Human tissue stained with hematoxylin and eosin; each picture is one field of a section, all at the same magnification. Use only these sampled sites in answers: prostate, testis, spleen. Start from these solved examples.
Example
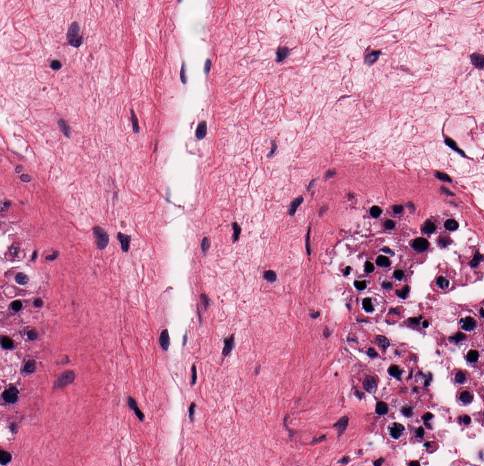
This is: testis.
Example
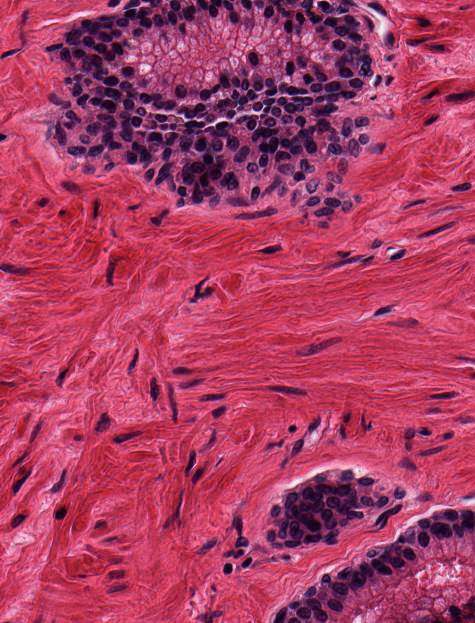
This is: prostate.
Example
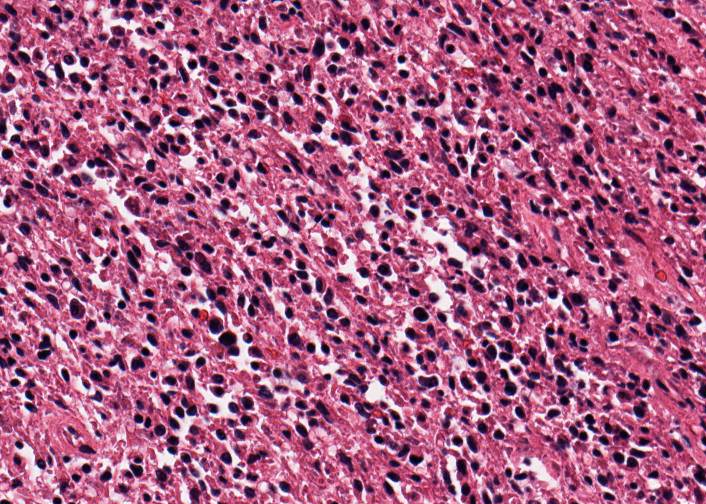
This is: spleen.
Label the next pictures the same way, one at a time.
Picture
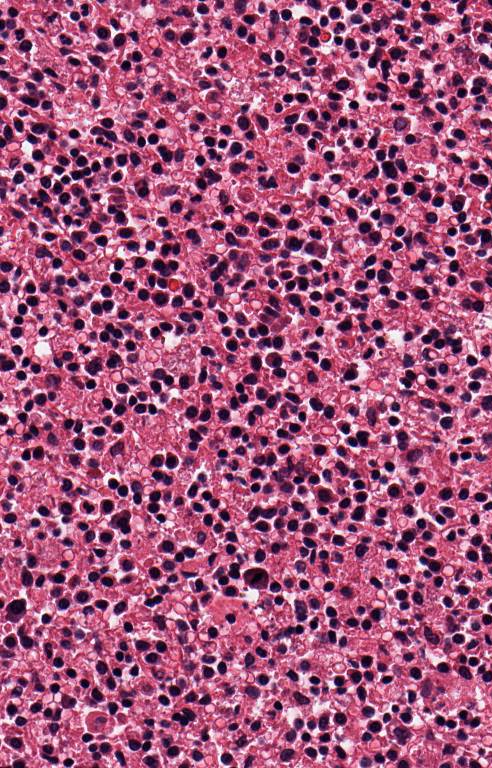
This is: spleen.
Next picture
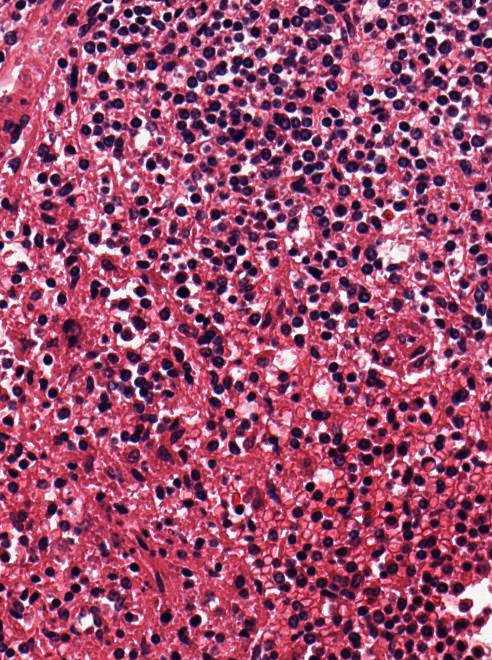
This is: spleen.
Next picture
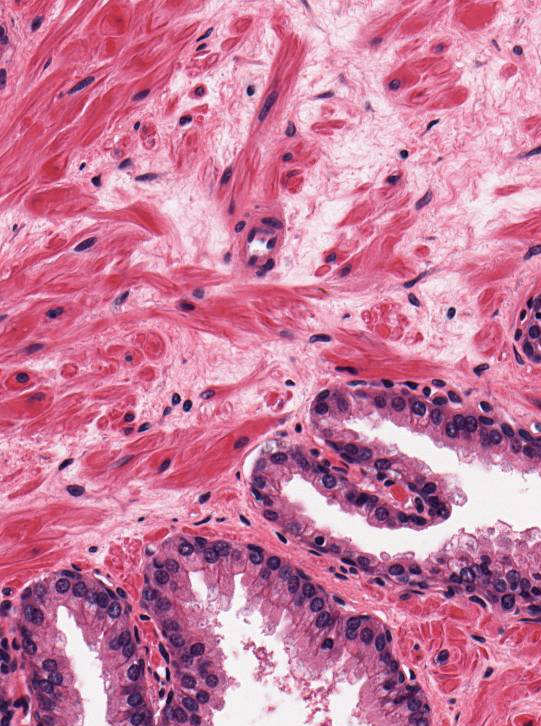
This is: prostate.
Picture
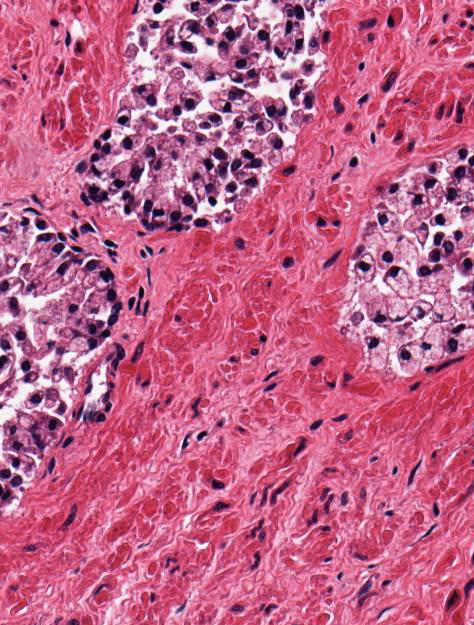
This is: prostate.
